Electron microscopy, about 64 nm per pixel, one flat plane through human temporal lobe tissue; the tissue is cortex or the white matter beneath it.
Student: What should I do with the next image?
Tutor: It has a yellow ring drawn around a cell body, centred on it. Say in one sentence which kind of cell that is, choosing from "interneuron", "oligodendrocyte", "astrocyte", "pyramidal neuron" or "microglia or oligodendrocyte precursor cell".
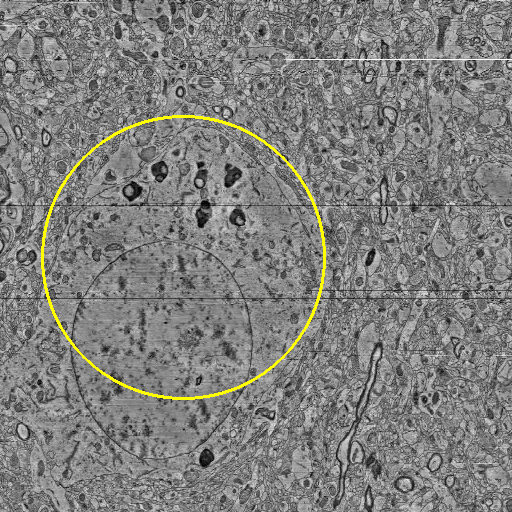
The ring's centre is occupied by a pyramidal neuron.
